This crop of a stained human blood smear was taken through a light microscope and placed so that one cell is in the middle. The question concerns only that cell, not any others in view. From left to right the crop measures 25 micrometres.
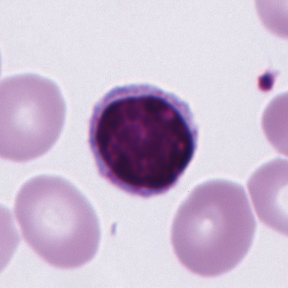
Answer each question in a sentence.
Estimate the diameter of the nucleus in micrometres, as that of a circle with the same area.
The diameter of the nucleus comes to about 8 micrometres.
